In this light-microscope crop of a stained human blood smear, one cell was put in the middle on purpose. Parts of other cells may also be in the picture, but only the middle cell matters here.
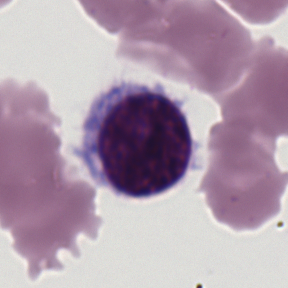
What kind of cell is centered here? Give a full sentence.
The middle cell in this particular crop is a hairy cell.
